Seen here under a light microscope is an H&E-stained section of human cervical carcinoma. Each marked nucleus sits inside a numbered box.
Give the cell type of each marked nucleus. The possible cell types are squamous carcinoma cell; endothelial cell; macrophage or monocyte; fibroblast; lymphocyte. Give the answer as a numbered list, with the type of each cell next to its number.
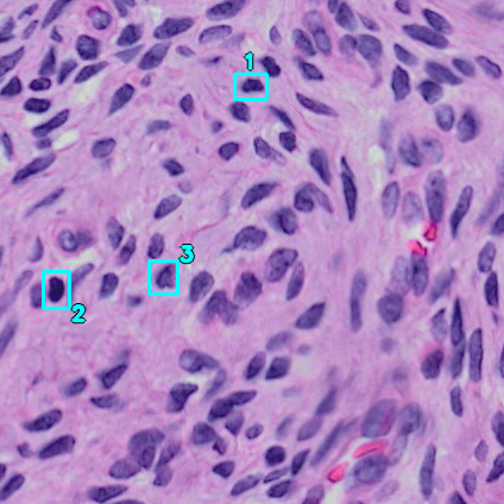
1. fibroblast
2. lymphocyte
3. fibroblast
